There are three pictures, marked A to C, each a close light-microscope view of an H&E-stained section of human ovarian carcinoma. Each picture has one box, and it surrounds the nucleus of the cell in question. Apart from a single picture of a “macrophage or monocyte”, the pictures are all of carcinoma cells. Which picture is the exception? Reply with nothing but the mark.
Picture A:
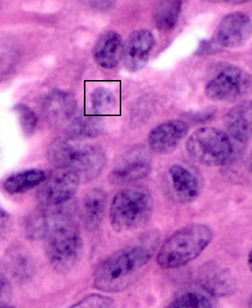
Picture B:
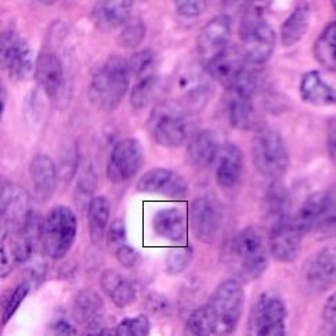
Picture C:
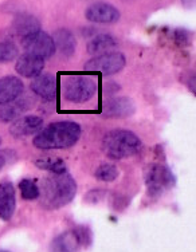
A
